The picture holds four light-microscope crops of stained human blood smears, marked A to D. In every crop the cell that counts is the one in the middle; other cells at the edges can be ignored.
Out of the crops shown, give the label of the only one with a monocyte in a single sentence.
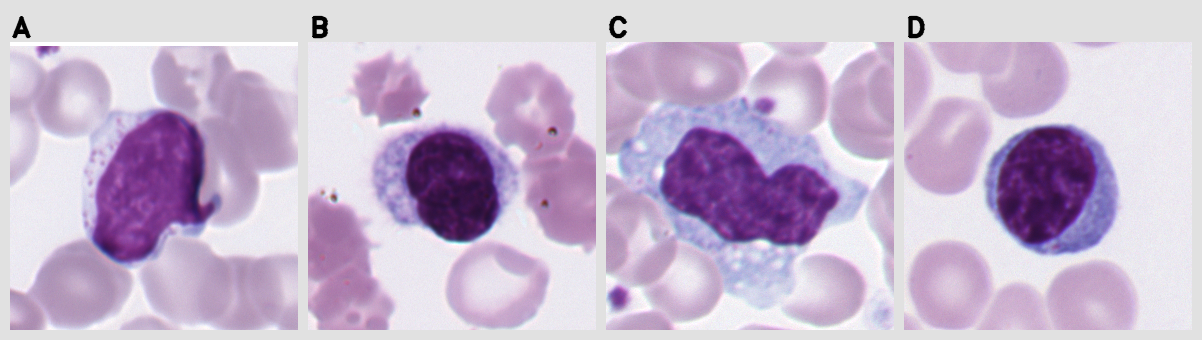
Crop C is the one depicting a monocyte.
